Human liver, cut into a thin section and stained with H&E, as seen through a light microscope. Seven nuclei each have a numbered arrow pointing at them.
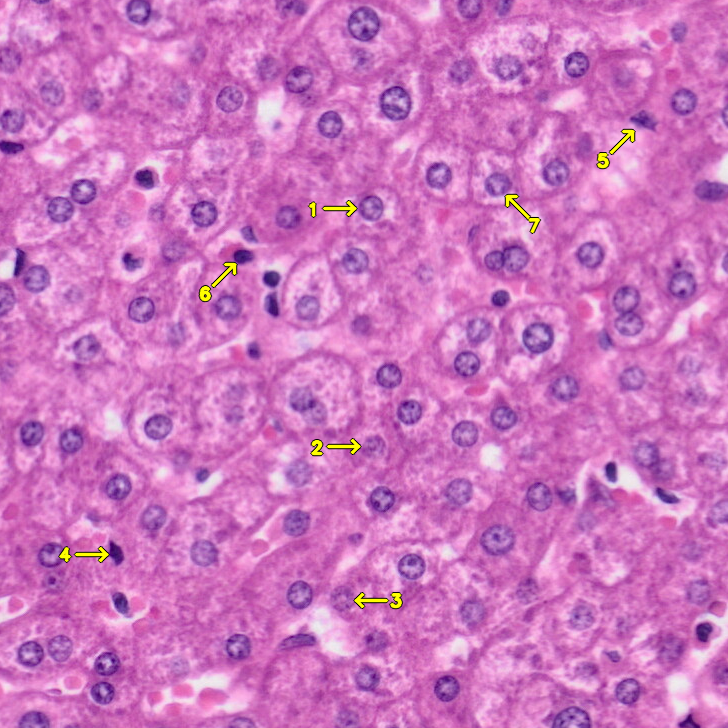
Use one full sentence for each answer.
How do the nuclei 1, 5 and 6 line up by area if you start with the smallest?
The order from the smallest nucleus to the largest is 6, 5, 1.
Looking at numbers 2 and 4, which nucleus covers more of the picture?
Nucleus 2 is larger, with an area about 1.5 times that of nucleus 4.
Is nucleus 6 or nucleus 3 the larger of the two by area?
It is nucleus 3, which covers about 2 times the area of nucleus 6.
